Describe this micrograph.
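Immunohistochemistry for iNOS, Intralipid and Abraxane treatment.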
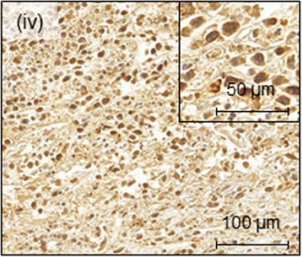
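This tumor section shows densely packed cells with round to oval nuclei, many of them darkly stained. Brown staining here is diffuse, filling the cytoplasm of most cells across the whole field rather than a few scattered ones, and the inset shows rounded cells with brown cytoplasm around their nuclei.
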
